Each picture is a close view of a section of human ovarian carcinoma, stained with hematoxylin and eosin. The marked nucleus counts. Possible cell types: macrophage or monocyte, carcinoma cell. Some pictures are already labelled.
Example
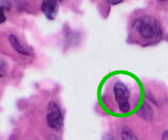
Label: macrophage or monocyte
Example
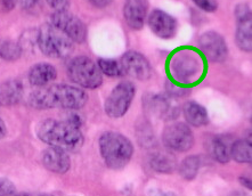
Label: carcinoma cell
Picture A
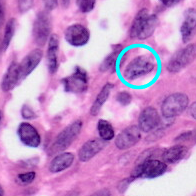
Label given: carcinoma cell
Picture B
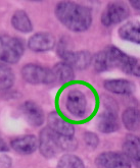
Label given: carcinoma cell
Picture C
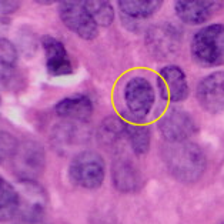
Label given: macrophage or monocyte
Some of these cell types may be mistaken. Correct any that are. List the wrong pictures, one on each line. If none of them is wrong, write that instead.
A: macrophage or monocyte, not carcinoma cell
B: macrophage or monocyte, not carcinoma cell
